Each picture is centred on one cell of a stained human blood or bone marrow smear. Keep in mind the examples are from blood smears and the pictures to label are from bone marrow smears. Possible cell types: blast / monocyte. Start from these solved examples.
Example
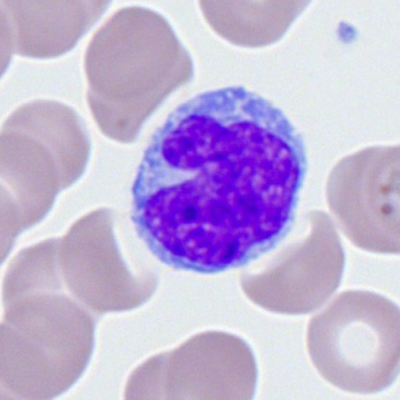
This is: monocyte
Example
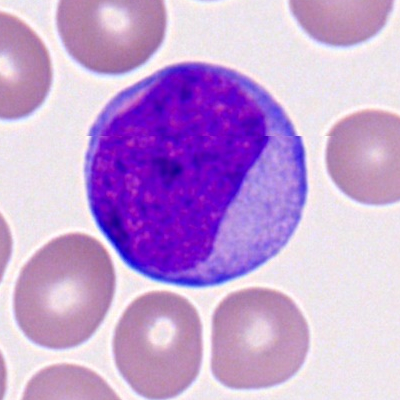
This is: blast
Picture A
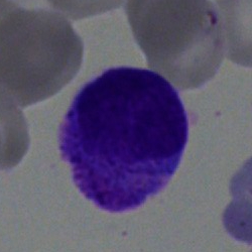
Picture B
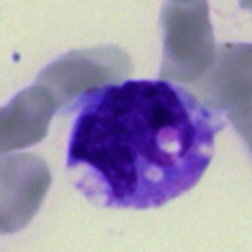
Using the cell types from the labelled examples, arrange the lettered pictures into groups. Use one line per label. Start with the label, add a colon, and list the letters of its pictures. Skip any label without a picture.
blast: A
monocyte: B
